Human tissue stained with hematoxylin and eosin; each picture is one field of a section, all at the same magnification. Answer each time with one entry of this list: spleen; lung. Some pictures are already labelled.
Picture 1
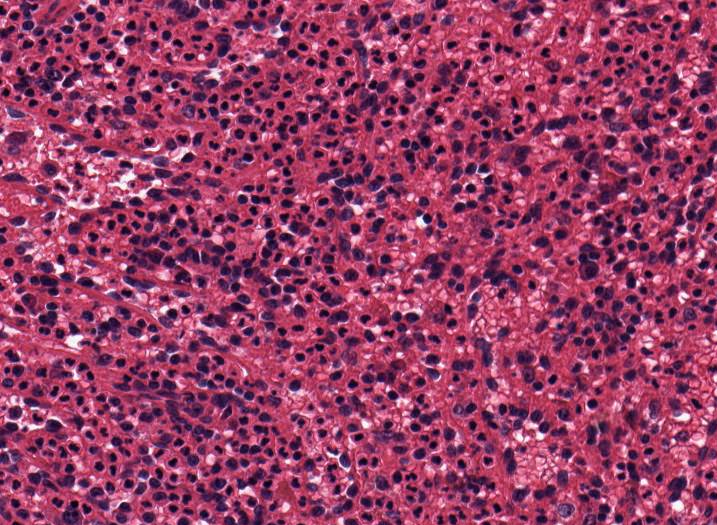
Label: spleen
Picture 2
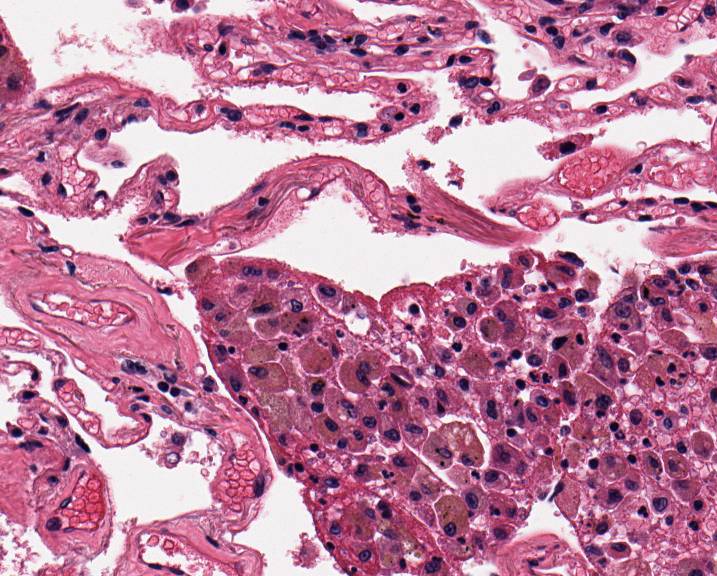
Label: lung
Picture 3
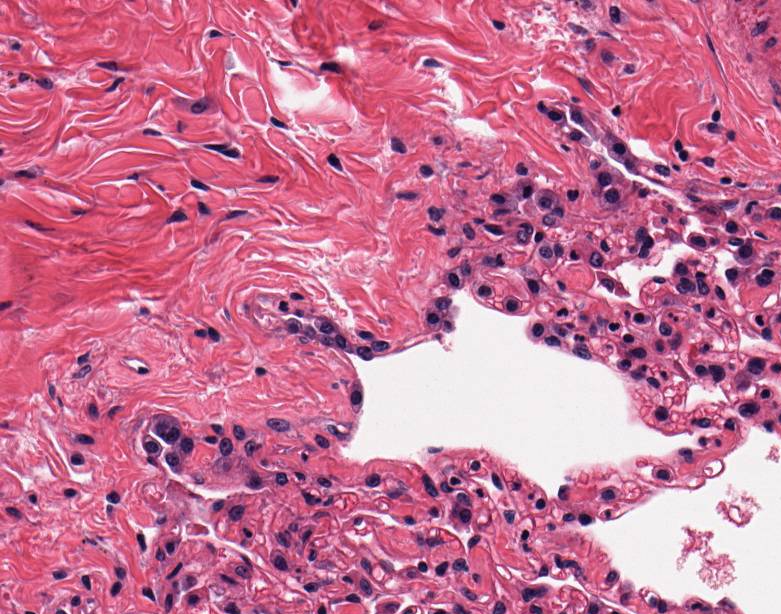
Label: lung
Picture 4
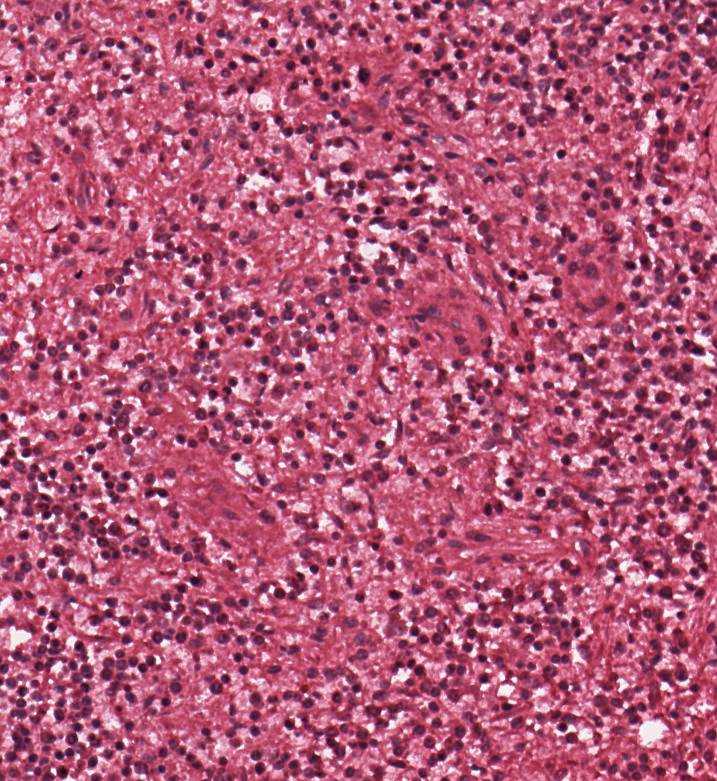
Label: spleen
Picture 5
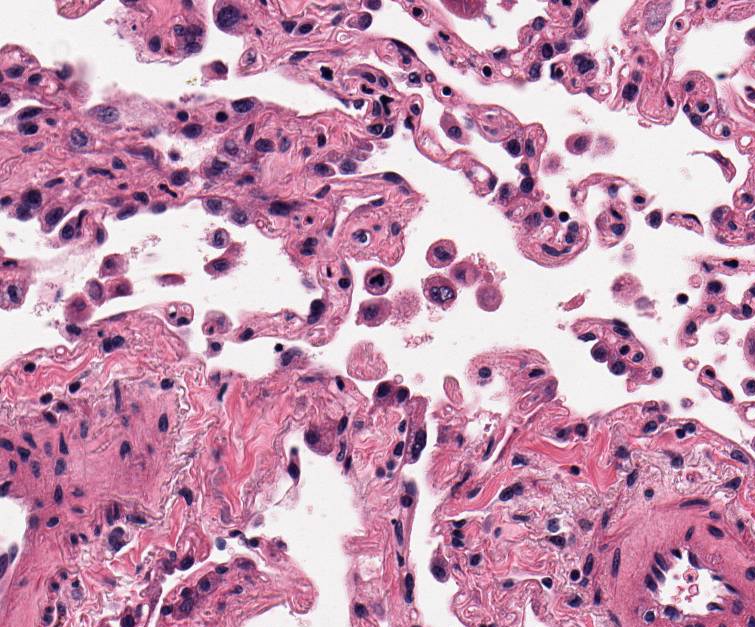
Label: lung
